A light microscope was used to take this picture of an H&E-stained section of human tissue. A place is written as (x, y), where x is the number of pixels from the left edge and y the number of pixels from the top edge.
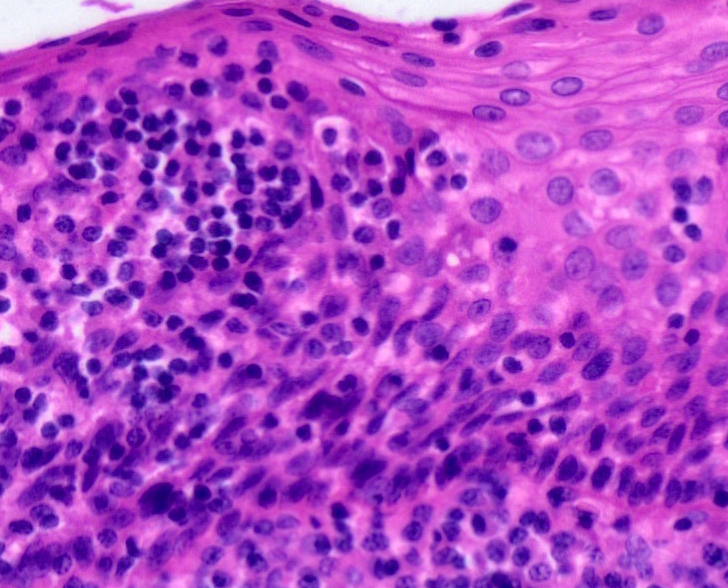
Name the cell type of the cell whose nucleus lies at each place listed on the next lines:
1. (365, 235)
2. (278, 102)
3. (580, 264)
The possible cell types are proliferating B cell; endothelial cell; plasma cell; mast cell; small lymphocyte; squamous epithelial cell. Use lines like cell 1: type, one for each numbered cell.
cell 1: plasma cell
cell 2: squamous epithelial cell
cell 3: squamous epithelial cell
